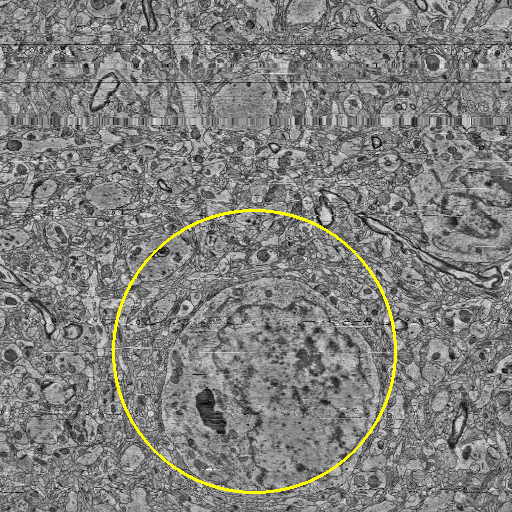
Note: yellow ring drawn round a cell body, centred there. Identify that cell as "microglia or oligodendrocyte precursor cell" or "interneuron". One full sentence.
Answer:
The cell in the middle of the ring is an interneuron.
